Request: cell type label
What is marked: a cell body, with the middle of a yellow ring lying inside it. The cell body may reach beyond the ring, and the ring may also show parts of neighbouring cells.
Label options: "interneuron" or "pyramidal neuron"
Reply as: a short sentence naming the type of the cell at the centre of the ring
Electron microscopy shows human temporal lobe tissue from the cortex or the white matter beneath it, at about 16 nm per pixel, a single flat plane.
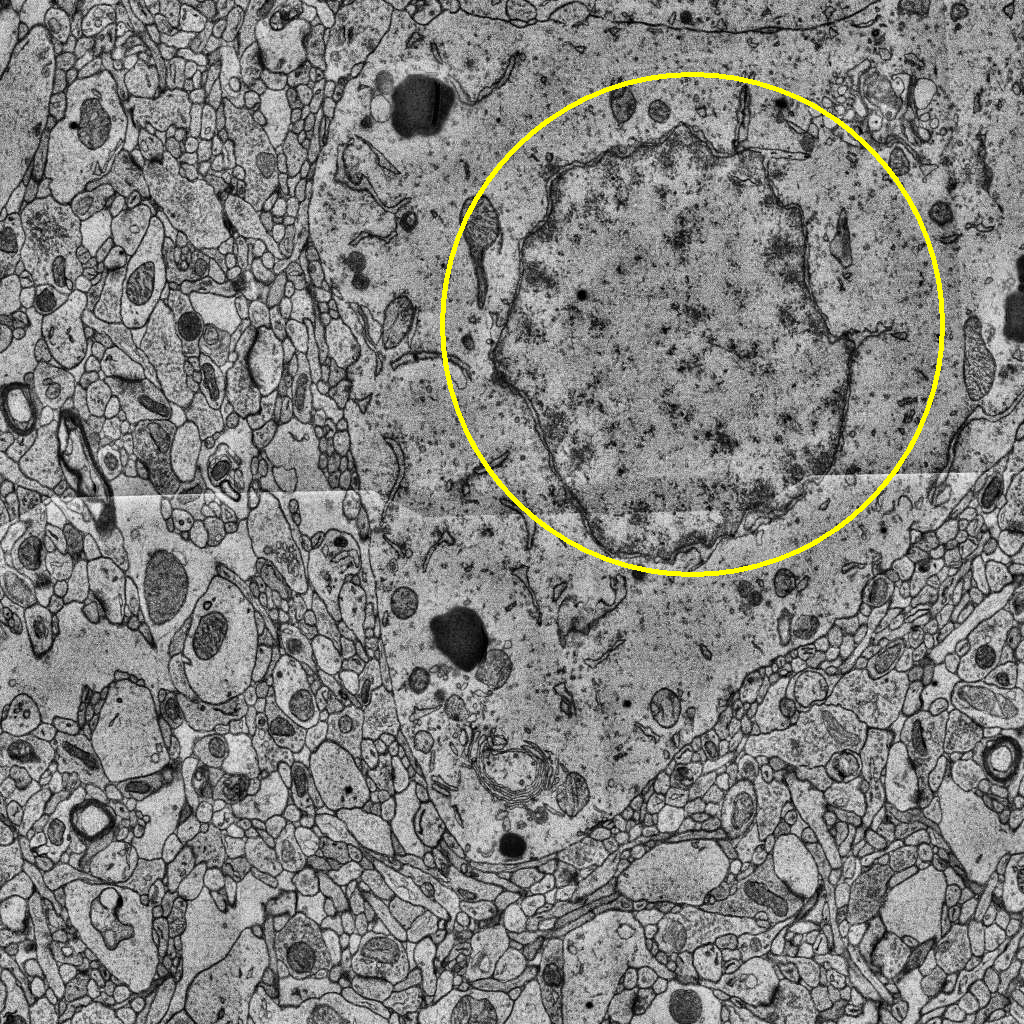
The marked cell body is that of a pyramidal neuron.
